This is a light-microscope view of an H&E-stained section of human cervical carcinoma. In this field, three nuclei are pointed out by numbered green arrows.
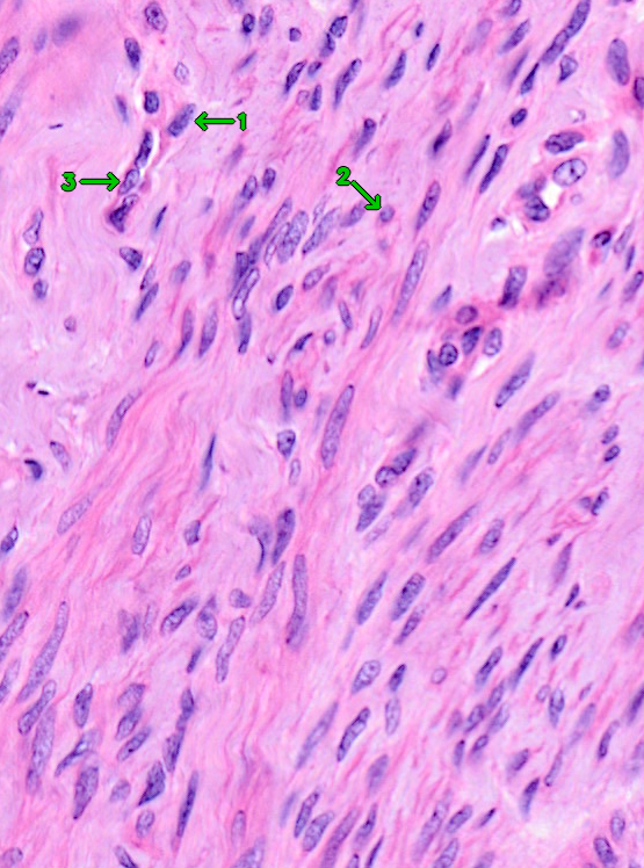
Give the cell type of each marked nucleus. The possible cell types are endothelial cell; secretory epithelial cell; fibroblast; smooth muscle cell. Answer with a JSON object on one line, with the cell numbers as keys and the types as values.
{"1": "endothelial cell", "2": "smooth muscle cell", "3": "endothelial cell"}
